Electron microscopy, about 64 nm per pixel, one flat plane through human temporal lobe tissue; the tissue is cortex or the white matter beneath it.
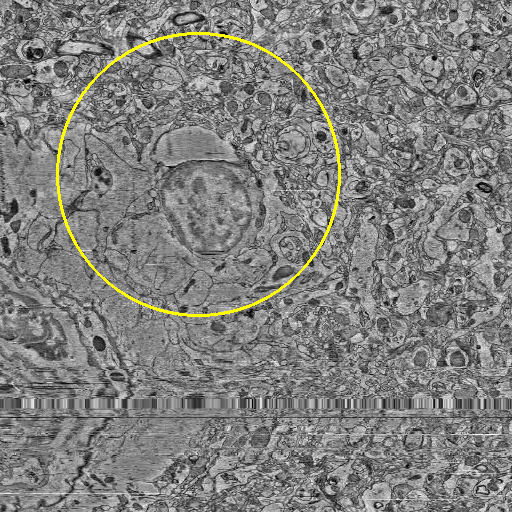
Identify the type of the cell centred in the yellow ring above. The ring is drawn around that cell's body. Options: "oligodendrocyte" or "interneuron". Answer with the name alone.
oligodendrocyte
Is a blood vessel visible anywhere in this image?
Yes.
